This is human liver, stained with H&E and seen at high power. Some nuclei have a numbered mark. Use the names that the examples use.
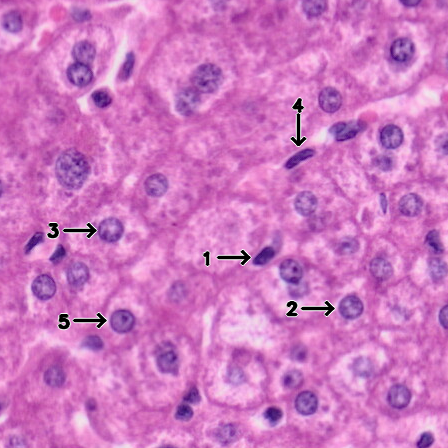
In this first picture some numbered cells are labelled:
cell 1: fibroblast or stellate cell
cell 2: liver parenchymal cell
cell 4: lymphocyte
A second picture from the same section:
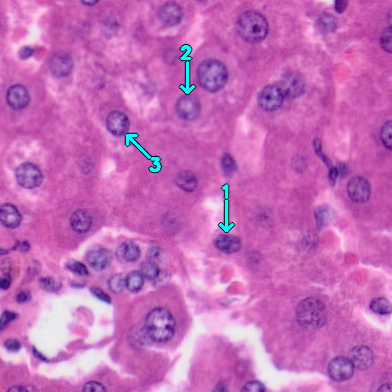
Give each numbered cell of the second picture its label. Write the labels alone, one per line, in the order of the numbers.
fibroblast or stellate cell
liver parenchymal cell
liver parenchymal cell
